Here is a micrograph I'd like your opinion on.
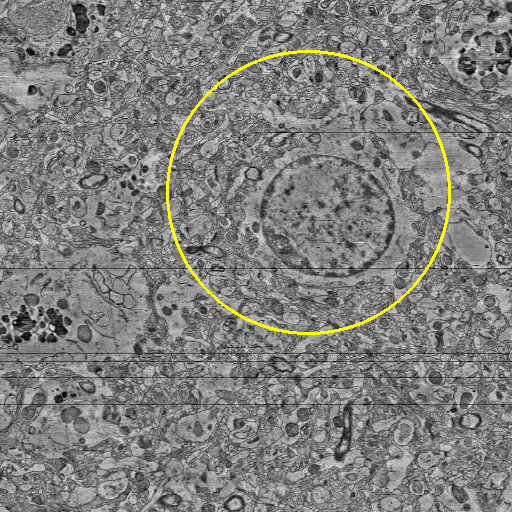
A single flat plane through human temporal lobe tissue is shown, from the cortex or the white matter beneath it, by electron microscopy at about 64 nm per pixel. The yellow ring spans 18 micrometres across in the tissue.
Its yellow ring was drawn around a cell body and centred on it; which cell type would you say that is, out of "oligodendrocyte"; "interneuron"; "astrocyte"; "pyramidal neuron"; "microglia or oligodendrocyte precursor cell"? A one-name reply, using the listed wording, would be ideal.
astrocyte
